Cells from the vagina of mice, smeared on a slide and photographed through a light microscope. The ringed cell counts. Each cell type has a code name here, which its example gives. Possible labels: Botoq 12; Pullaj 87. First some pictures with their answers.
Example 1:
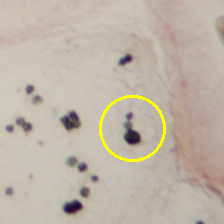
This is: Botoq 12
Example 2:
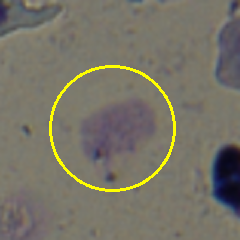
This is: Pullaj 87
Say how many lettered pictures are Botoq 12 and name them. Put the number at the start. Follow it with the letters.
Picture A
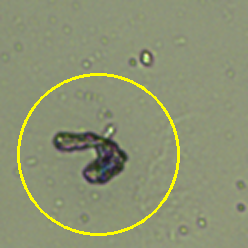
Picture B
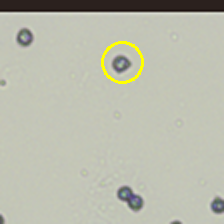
1, namely B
